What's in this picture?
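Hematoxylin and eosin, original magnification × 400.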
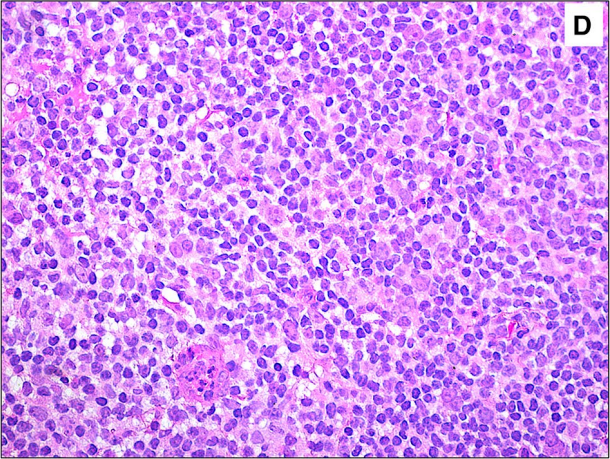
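The tissue consists of diffuse sheets of mature lymphocytes, with round purple nuclei and small rims of pale pink cytoplasm packed closely together. The cells are fairly uniform in size, and no follicles are formed; a few small vessels with pink walls are scattered among them.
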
